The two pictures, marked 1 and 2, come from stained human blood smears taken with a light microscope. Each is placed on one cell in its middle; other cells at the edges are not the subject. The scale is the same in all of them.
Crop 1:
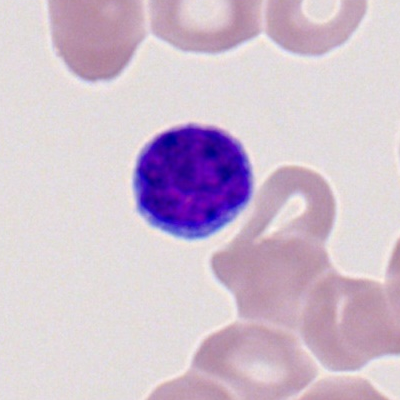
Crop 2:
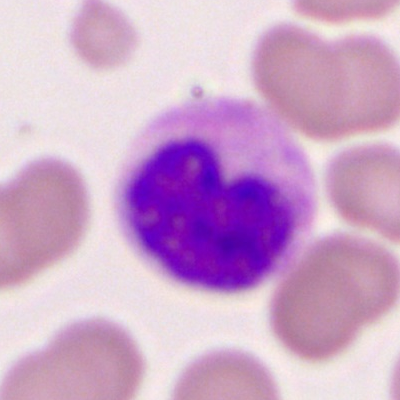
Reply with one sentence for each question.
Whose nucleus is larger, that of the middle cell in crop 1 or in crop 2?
Crop 2 shows the larger nucleus; it covers about 1.5 times the area of the nucleus in crop 1.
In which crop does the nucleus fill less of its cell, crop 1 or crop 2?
Of the two, the nucleus in crop 2 leaves more room for cytoplasm.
